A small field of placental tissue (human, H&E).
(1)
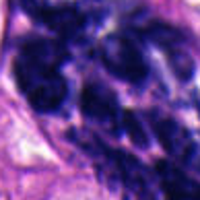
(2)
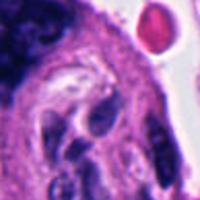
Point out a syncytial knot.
That is picture 1.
